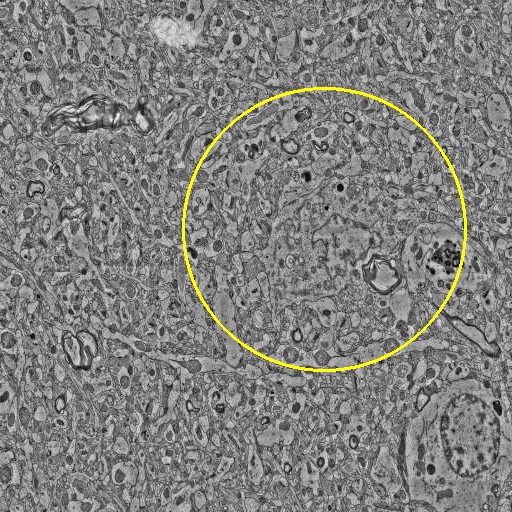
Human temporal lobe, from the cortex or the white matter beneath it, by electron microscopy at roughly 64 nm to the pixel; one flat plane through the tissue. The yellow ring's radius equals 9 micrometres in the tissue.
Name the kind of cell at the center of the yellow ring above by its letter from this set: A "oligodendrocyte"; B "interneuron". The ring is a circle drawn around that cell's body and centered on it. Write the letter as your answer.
B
